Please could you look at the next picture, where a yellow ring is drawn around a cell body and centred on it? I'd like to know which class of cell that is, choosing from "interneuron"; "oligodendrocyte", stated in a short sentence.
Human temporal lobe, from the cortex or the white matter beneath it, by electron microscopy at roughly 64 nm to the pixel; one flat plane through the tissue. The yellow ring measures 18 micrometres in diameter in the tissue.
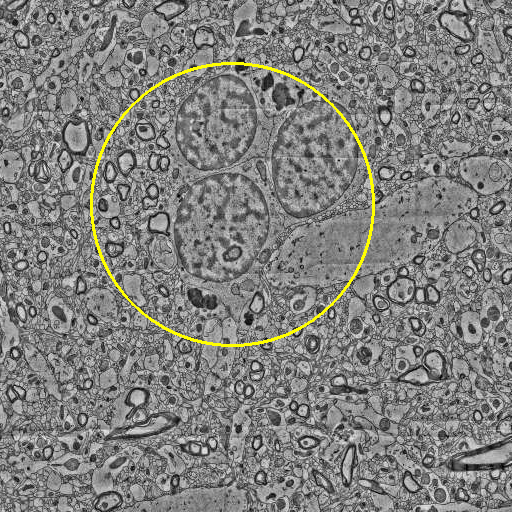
The ring's centre lies on an oligodendrocyte.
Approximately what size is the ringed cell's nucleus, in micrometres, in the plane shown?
About 7 micrometres across in this plane.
